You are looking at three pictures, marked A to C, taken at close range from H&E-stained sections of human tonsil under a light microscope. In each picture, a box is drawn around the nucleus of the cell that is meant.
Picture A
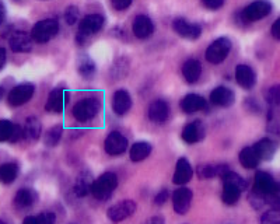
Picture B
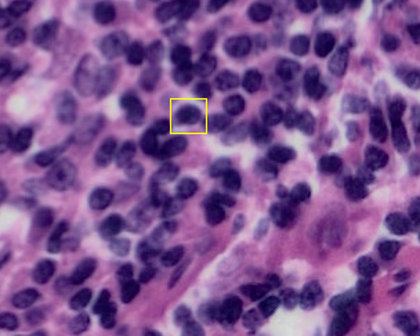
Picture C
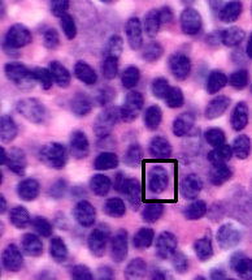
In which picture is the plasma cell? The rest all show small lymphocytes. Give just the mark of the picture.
A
